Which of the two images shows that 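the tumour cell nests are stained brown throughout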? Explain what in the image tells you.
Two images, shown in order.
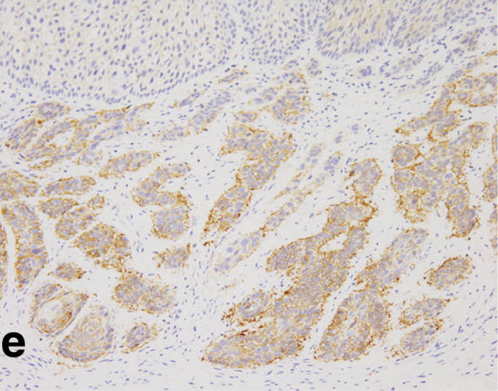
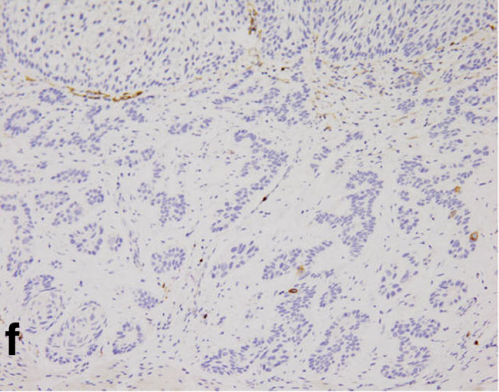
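First image: the tumour nests are diffusely brown. So: the first image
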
